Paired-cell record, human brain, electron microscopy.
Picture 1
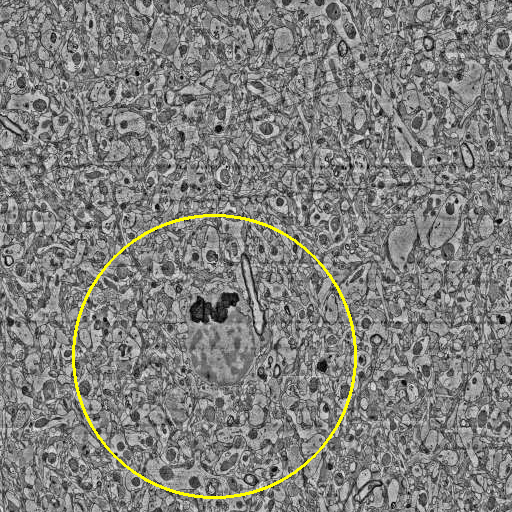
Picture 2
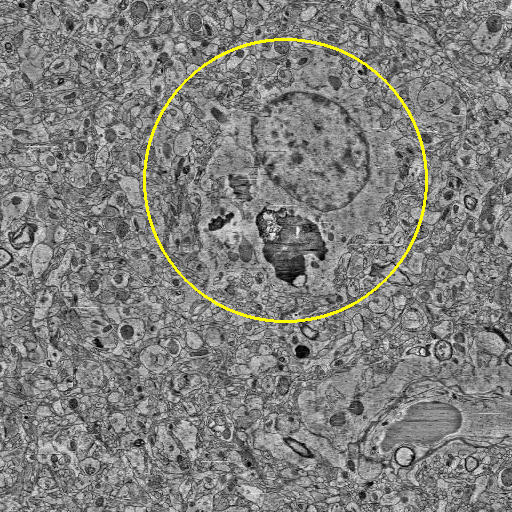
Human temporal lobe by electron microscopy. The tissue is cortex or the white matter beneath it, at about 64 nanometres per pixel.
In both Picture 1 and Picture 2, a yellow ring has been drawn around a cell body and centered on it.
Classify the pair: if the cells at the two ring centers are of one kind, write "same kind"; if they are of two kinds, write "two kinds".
two kinds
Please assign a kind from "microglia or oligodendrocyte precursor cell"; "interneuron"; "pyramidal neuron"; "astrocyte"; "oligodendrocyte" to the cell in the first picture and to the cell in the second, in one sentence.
In the first picture we have an oligodendrocyte, and in the second, an astrocyte.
